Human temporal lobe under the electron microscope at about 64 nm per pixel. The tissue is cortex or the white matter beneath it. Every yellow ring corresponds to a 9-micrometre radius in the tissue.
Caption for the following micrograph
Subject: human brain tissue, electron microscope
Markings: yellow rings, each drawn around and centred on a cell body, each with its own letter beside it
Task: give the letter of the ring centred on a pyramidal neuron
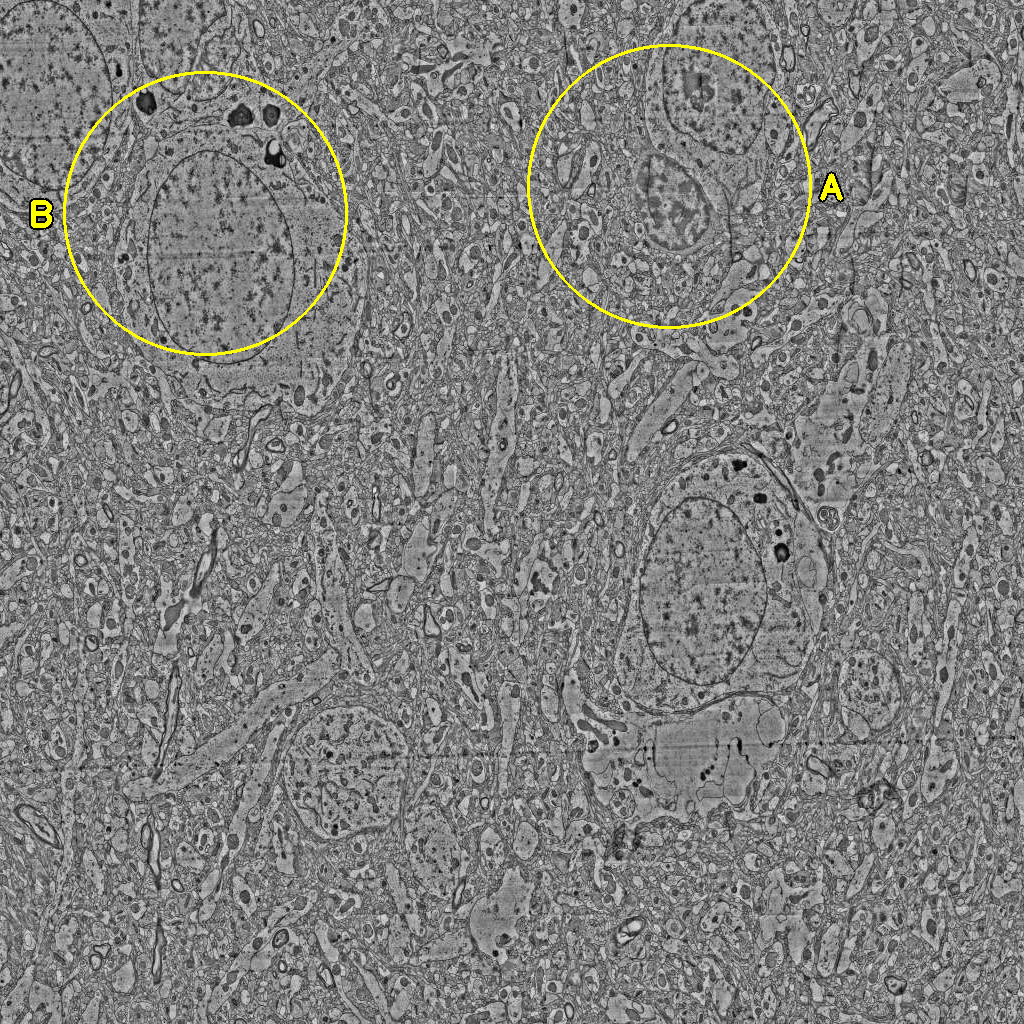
B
